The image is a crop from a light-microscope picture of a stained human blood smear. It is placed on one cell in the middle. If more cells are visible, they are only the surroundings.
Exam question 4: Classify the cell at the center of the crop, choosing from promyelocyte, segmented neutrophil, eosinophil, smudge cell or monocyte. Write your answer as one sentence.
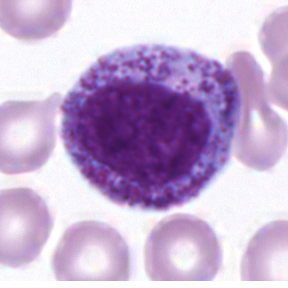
The cell in the exact centre of the crop is a promyelocyte.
